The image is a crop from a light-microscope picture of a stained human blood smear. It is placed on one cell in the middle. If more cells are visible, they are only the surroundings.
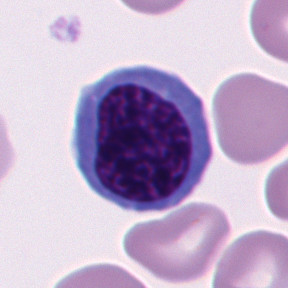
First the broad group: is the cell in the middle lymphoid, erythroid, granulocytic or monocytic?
erythroid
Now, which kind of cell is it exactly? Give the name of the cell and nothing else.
normoblast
